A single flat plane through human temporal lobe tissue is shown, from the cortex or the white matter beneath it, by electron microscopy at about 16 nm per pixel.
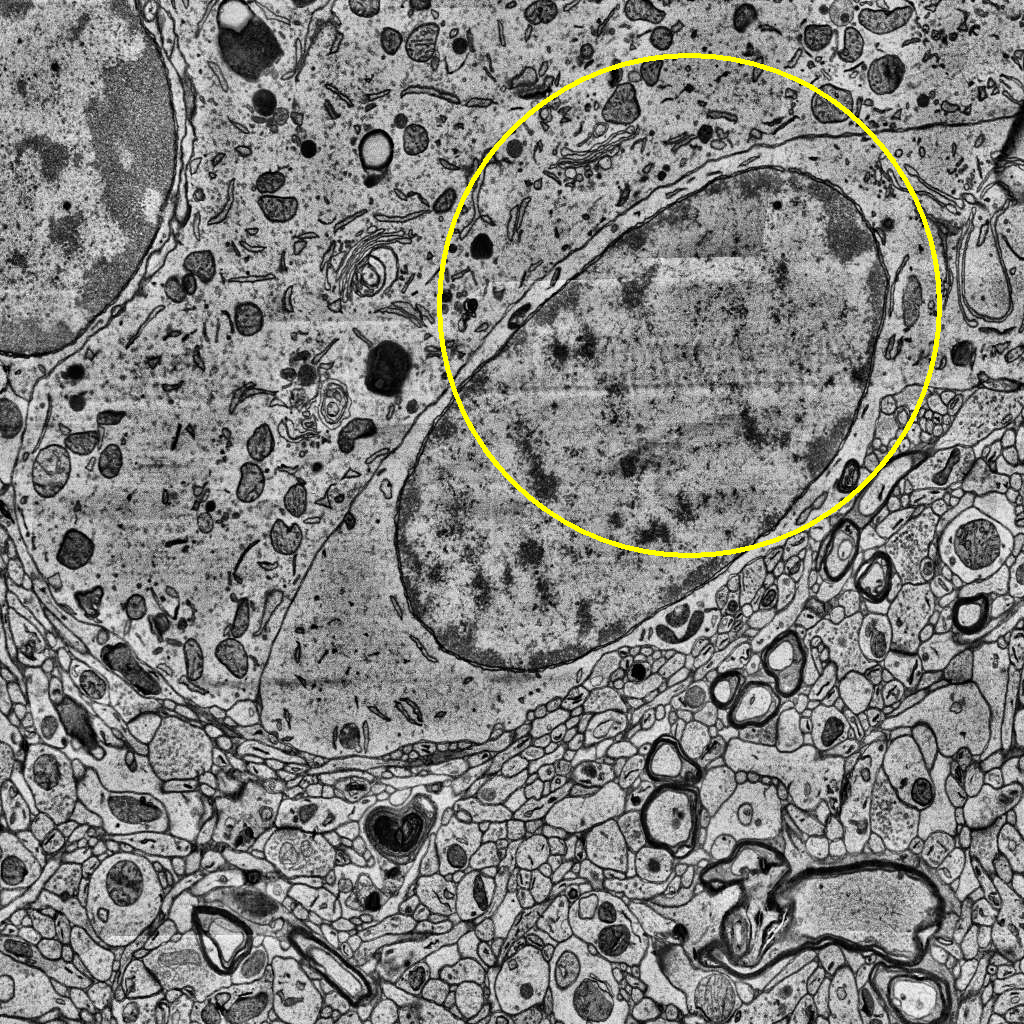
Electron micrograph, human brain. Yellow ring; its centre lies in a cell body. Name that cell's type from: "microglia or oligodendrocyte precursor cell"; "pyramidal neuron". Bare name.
microglia or oligodendrocyte precursor cell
